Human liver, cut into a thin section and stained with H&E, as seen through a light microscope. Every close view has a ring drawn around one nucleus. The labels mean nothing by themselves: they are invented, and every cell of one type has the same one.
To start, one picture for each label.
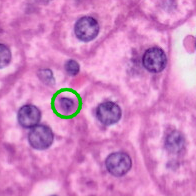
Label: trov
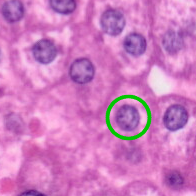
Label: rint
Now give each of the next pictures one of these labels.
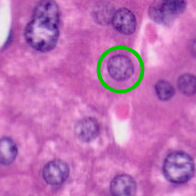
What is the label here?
rint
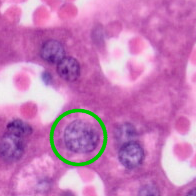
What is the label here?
rint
